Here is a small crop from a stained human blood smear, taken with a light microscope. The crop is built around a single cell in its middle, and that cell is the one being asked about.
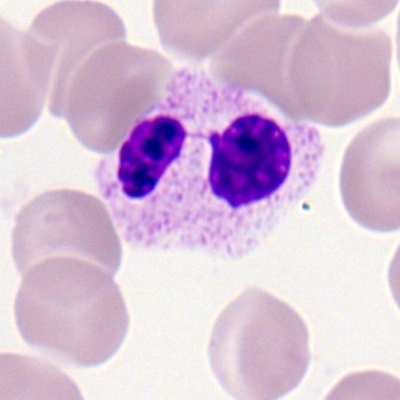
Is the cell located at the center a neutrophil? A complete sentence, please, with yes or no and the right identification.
Yes, the cell in the central position is a neutrophil.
